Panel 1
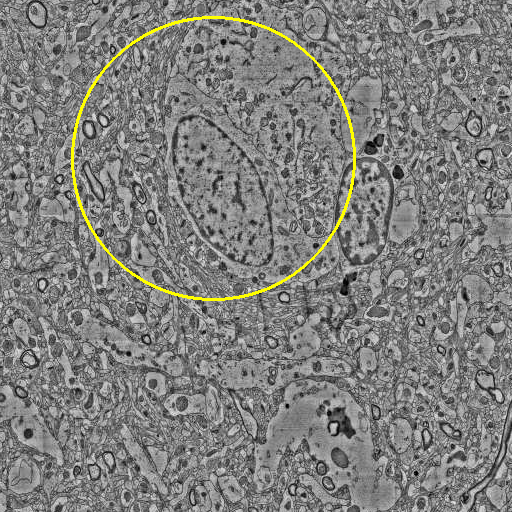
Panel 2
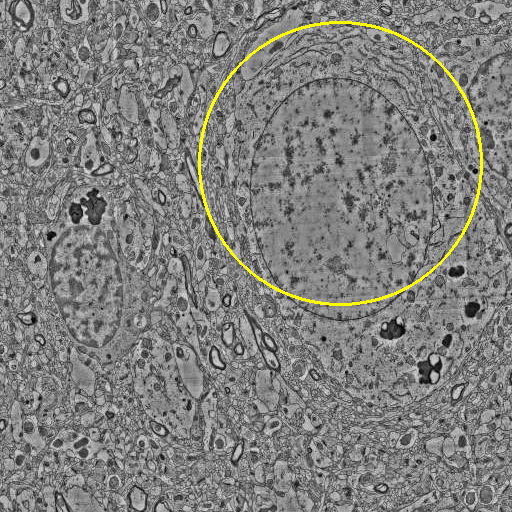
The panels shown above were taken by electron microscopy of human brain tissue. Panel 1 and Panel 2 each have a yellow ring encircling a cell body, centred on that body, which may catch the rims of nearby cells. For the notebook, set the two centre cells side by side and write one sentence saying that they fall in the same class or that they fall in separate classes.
The centred cells of Panel 1 and Panel 2 fall in separate classes.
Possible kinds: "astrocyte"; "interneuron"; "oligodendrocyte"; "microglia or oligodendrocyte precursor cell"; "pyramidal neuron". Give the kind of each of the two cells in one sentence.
The cell in the second picture is a pyramidal neuron, and that in the first is a microglial cell or oligodendrocyte precursor cell.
